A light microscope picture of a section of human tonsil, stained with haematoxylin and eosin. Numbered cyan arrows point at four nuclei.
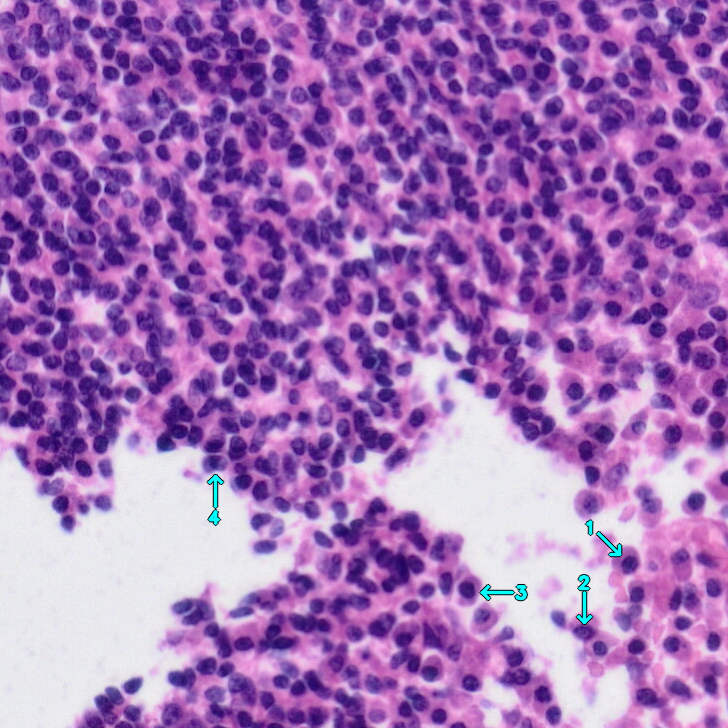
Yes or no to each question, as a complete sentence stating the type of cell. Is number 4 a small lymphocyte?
Yes, with respect to number 4, the cell is a small lymphocyte.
